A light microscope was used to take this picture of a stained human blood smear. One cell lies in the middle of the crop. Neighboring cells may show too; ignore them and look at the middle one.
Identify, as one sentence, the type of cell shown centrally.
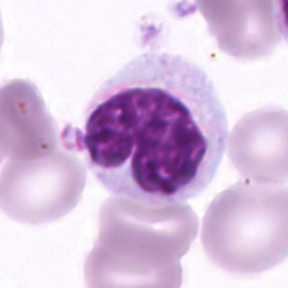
Framed in the middle of the crop is a band neutrophil.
